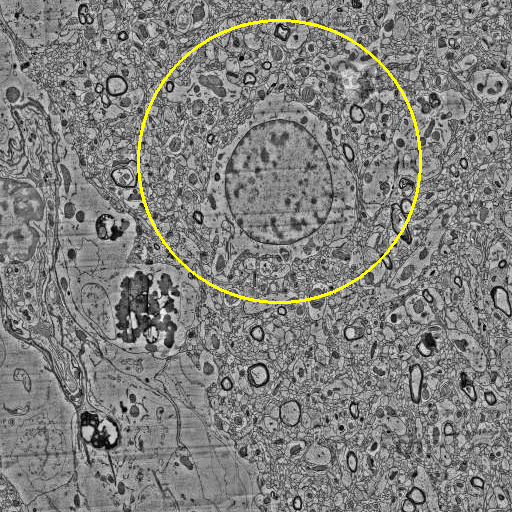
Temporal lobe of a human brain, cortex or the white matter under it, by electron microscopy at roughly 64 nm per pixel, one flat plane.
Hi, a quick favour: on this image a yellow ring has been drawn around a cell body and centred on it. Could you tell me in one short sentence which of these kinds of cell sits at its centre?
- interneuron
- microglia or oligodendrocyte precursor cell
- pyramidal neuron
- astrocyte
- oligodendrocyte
The ring is centred on an astrocyte.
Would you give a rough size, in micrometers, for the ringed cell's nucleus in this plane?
Approximately 8 micrometres long and 7 micrometres wide, in this plane.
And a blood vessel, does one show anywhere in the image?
Yes.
